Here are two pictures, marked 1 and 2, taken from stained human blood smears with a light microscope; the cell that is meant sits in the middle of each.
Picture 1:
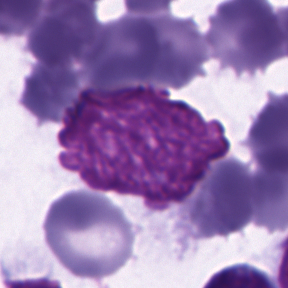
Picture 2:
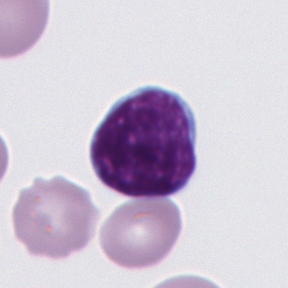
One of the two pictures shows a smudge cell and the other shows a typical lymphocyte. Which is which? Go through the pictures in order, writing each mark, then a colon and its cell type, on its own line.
1: smudge cell
2: typical lymphocyte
